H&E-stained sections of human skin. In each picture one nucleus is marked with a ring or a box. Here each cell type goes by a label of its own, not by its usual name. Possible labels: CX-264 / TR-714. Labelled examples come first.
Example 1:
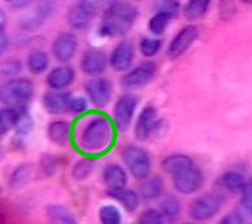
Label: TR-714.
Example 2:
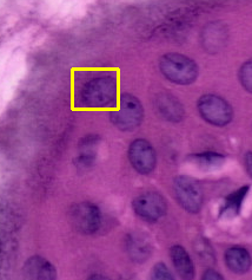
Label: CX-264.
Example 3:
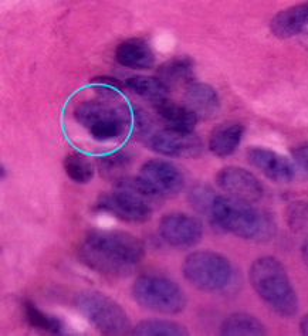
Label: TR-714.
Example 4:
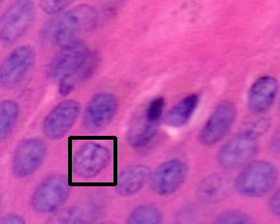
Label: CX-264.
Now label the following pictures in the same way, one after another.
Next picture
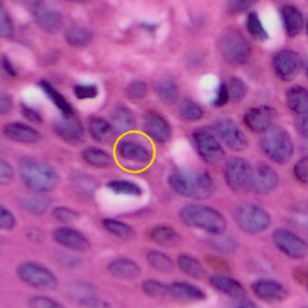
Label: TR-714.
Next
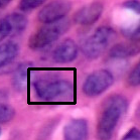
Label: TR-714.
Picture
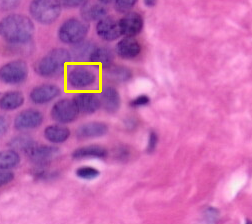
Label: TR-714.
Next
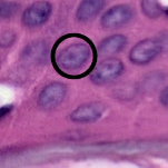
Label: CX-264.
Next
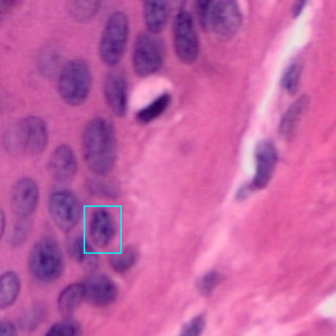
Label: TR-714.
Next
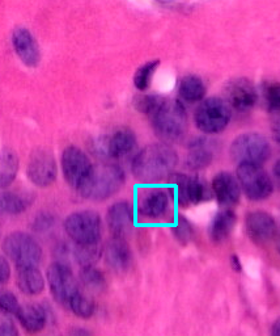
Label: TR-714.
